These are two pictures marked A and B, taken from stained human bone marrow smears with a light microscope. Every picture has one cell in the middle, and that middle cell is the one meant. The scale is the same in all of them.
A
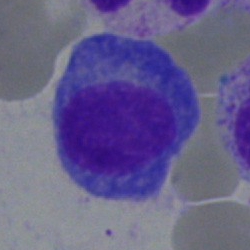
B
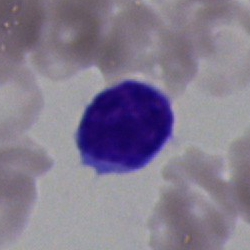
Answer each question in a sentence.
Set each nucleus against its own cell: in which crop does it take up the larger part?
In crop B the nucleus takes up the larger part of its cell.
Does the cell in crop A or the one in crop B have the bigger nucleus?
Crop A shows the larger nucleus; it covers about 1.5 times the area of the nucleus in crop B.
